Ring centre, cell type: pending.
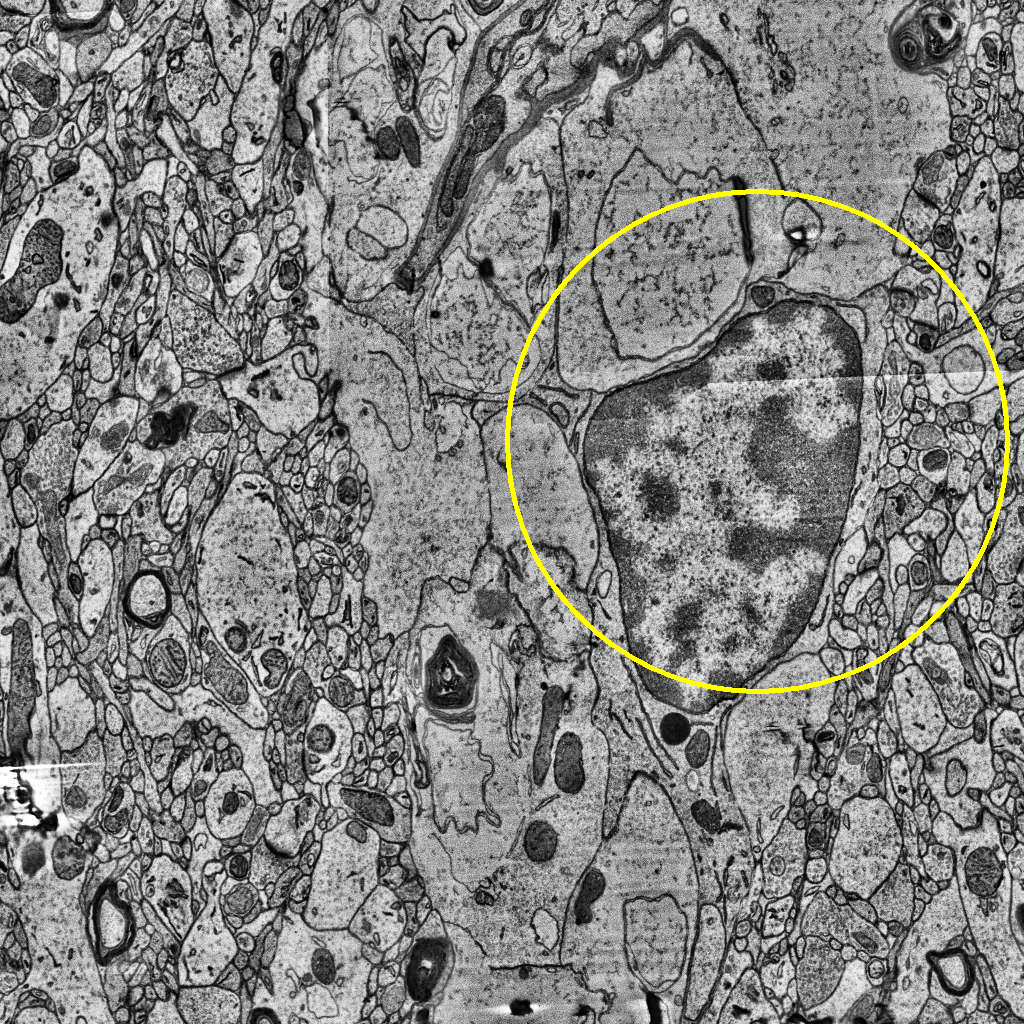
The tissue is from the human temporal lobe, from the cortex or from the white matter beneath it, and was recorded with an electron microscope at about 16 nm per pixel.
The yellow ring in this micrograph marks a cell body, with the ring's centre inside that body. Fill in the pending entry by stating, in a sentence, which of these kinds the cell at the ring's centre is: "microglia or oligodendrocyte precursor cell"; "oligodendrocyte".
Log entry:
The cell at the ring's centre is recorded as a microglial cell or oligodendrocyte precursor cell.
